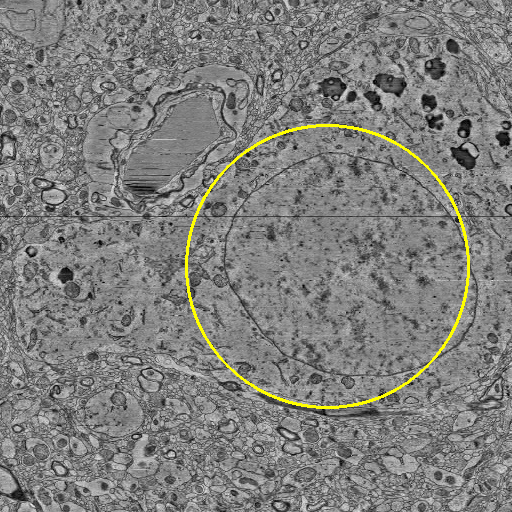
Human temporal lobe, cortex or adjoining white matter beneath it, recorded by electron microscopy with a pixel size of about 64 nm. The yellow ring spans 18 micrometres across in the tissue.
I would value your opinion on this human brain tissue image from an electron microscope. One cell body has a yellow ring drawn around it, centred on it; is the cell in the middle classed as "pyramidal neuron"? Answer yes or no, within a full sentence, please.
Yes, I would class the cell in the middle of the ring as that kind.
